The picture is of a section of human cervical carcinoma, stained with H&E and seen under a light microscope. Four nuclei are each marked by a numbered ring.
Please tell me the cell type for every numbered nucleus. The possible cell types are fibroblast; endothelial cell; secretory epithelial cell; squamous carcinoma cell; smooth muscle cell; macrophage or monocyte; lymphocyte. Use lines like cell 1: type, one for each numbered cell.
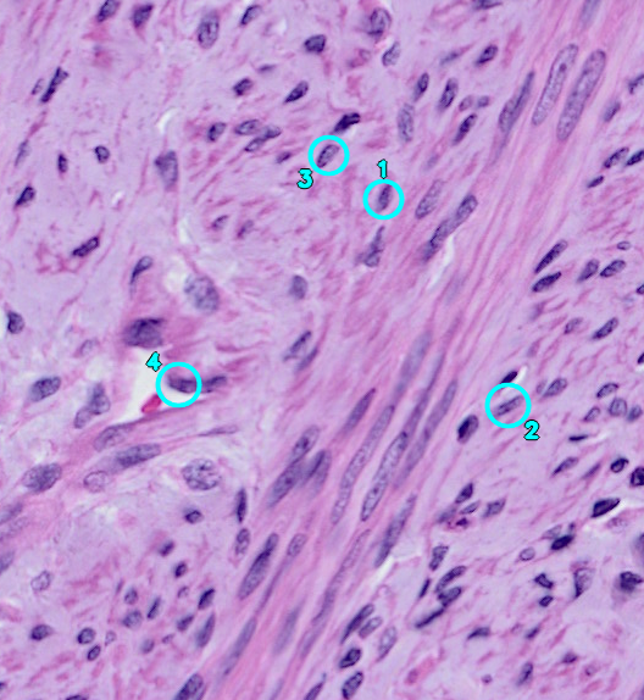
cell 1: smooth muscle cell
cell 2: smooth muscle cell
cell 3: smooth muscle cell
cell 4: endothelial cell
